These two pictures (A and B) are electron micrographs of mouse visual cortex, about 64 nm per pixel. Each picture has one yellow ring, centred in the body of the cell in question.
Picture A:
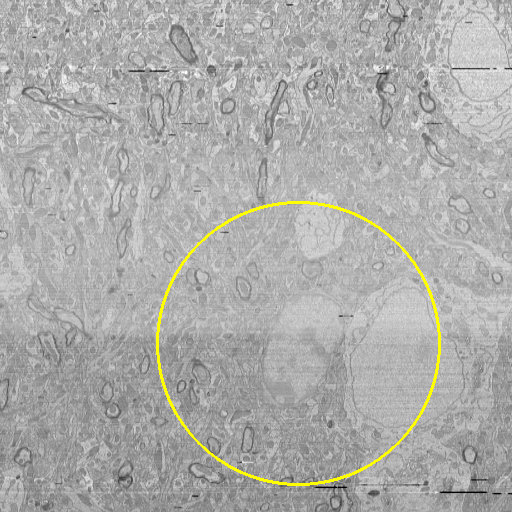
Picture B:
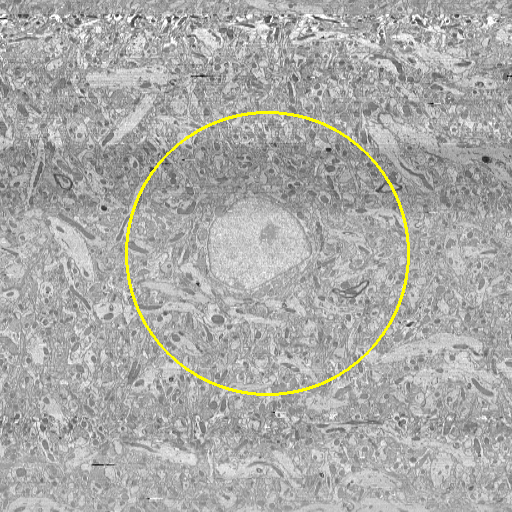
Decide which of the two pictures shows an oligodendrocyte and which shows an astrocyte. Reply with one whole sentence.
The cell in picture A is an oligodendrocyte, and the one in picture B is an astrocyte.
